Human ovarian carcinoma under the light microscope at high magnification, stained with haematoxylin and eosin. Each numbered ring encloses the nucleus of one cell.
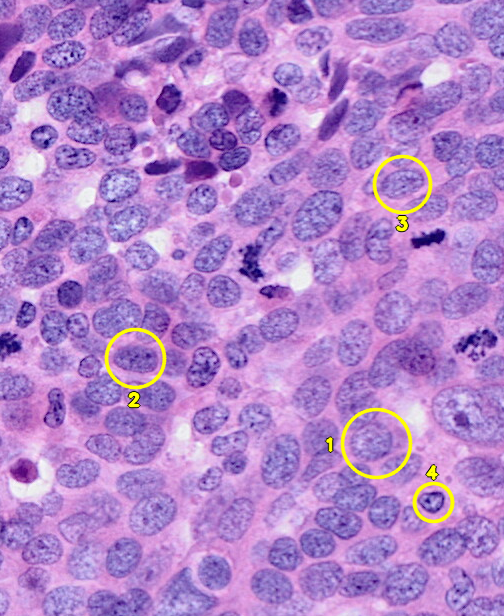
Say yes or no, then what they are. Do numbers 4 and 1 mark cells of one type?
No, cell 4 is a macrophage or monocyte whereas cell 1 is a carcinoma cell.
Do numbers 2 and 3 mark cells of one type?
Yes, sure, cells 2 and 3 are both carcinoma cells.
